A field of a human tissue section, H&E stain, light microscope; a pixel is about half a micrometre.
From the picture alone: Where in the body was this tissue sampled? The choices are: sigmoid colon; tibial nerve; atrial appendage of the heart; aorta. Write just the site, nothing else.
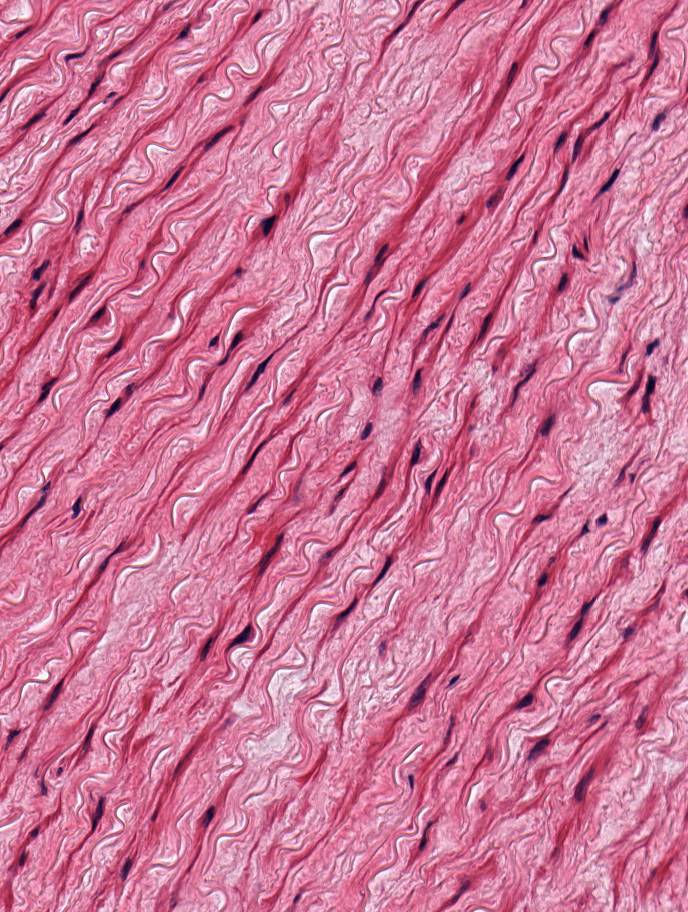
aorta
